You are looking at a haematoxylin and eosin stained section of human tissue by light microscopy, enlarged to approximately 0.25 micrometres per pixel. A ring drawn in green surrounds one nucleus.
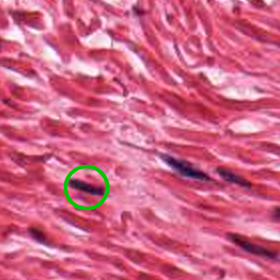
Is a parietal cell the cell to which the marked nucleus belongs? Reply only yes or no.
no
